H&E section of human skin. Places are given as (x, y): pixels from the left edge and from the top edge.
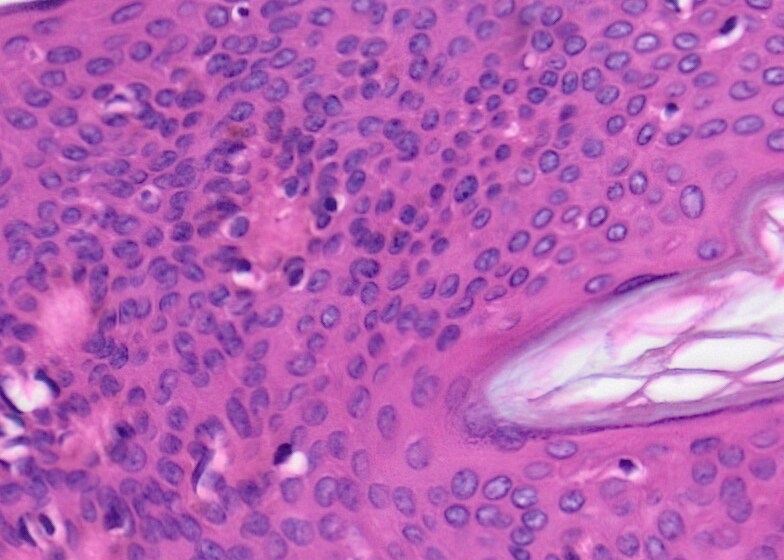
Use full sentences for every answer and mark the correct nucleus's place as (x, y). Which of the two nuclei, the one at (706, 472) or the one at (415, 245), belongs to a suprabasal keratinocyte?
The nucleus situated at (706, 472) is the one belonging to a suprabasal keratinocyte.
